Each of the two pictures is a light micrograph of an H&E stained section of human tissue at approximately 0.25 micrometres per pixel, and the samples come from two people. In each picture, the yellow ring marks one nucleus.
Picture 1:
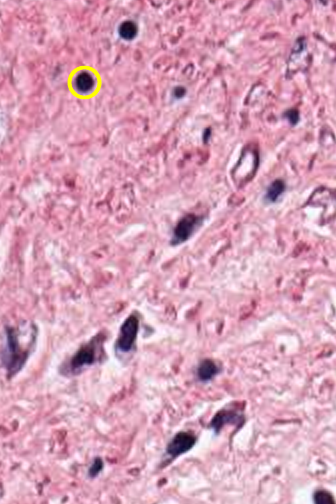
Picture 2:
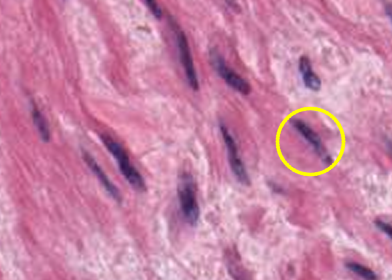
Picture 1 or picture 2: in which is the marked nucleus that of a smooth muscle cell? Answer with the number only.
2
